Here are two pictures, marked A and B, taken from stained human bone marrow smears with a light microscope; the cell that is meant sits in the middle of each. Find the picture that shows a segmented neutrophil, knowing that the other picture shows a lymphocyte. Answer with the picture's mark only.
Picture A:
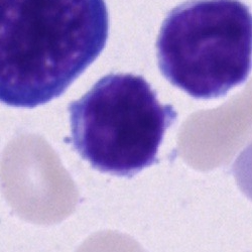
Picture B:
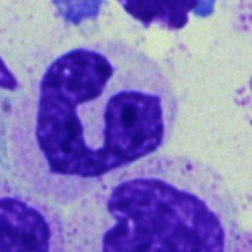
B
